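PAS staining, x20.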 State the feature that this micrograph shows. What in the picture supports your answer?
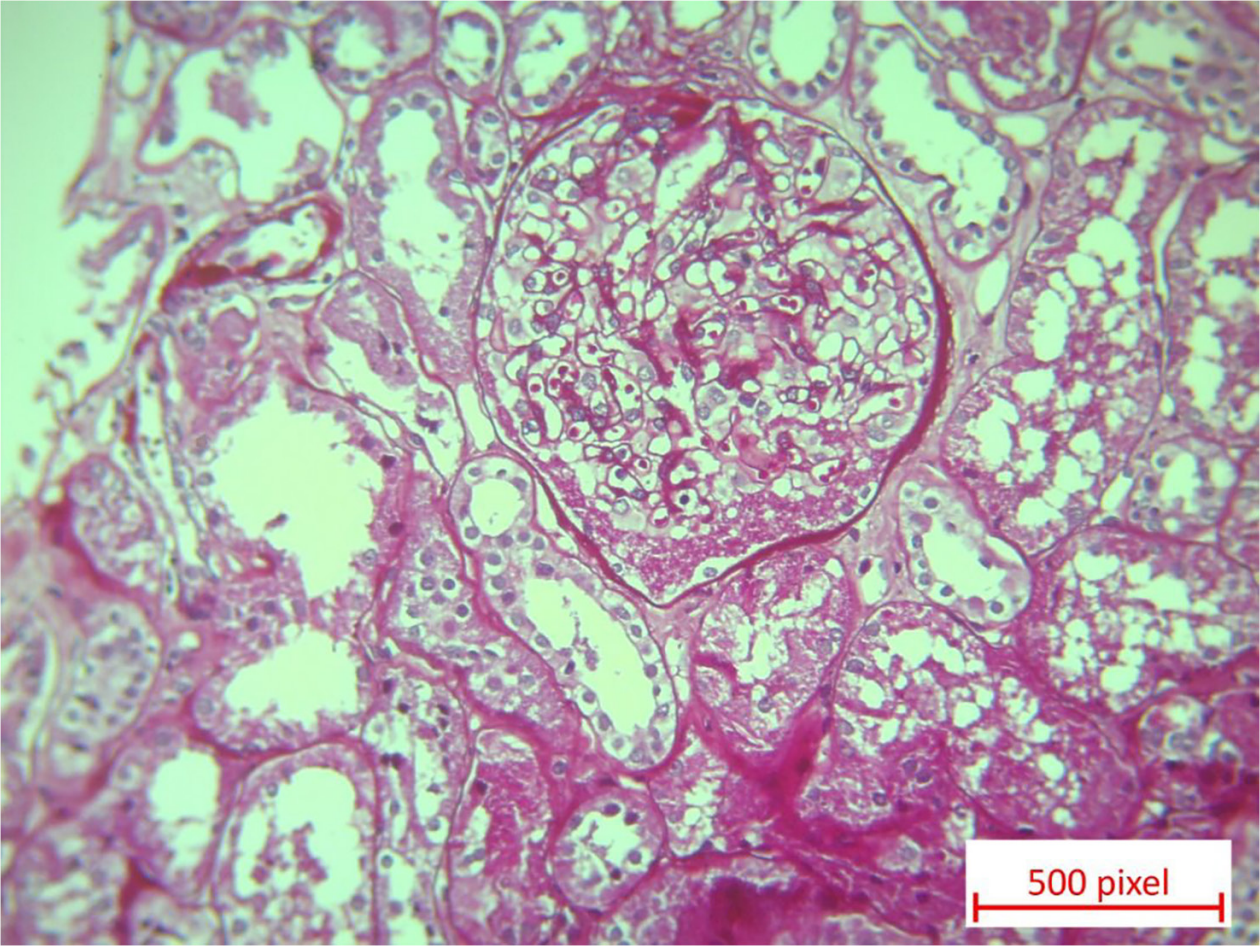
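A round tuft of looped capillaries sits in the centre, enclosed by a thin magenta capsule. Red blood cells lie within the capillary loops of the tuft. On this evidence: glomerulus.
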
